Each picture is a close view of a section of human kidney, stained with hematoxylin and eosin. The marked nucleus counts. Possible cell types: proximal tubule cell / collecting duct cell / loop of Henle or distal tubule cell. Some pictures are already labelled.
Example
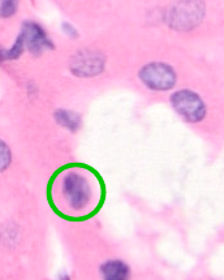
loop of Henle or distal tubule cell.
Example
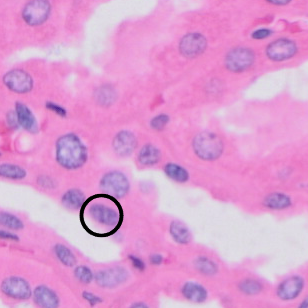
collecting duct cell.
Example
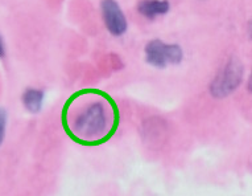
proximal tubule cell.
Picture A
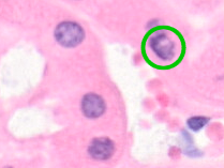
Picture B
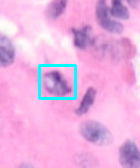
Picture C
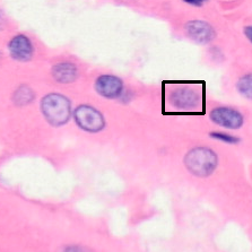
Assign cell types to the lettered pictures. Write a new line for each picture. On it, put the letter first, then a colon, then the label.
A: proximal tubule cell.
B: loop of Henle or distal tubule cell.
C: loop of Henle or distal tubule cell.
